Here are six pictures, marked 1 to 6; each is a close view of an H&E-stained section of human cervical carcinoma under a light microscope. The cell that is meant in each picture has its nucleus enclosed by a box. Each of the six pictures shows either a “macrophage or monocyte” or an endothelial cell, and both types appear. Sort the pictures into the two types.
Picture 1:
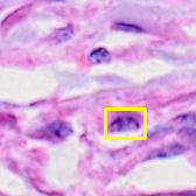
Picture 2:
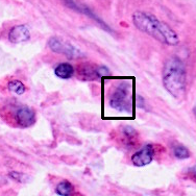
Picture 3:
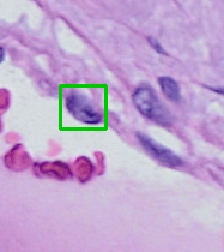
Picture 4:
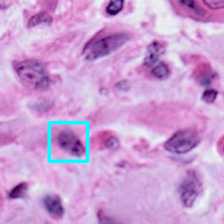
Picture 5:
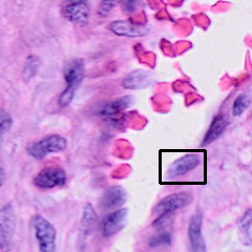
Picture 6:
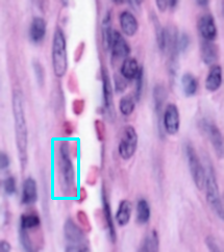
1: macrophage or monocyte
2: macrophage or monocyte
3: endothelial cell
4: macrophage or monocyte
5: endothelial cell
6: endothelial cell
